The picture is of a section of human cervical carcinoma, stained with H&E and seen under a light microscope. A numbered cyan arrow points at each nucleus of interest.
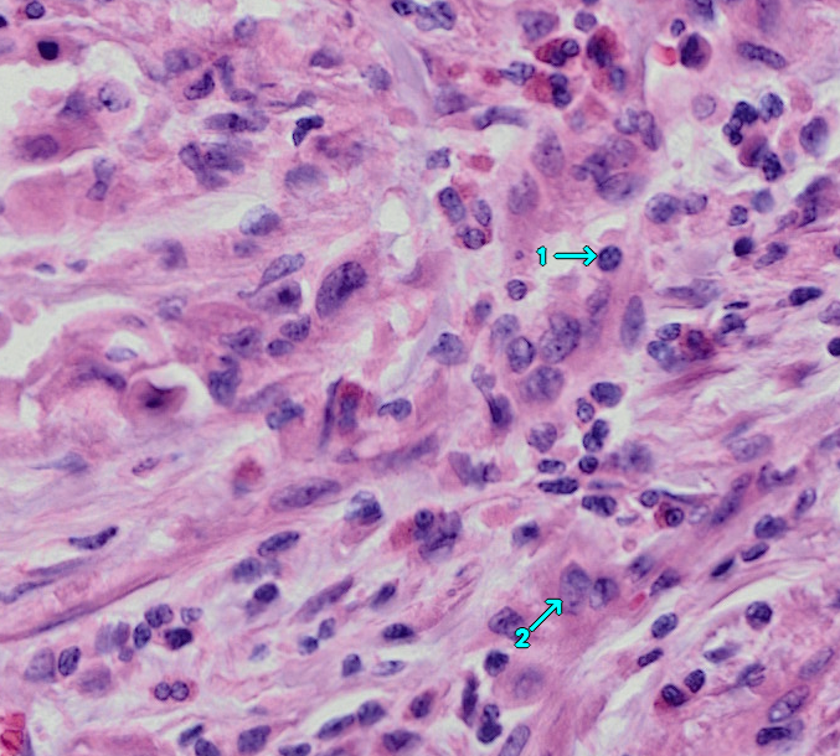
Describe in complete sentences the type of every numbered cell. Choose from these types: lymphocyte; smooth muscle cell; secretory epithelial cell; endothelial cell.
Cell 1 is a lymphocyte and cell 2 is an endothelial cell.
